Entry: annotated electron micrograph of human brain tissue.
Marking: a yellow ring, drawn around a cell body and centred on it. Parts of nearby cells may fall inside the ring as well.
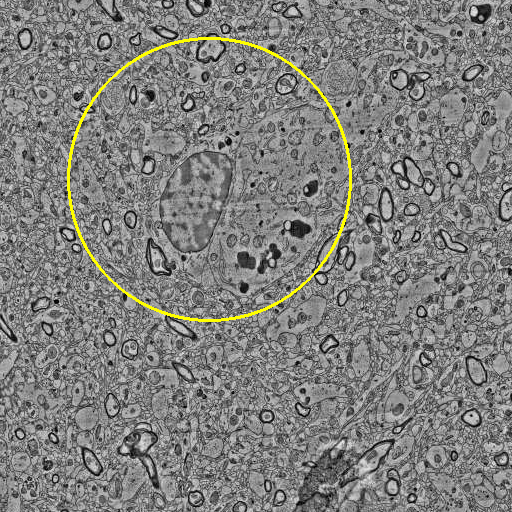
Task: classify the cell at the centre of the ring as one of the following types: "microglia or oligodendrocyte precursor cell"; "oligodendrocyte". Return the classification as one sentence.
The marked cell is classified as a microglial cell or oligodendrocyte precursor cell.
